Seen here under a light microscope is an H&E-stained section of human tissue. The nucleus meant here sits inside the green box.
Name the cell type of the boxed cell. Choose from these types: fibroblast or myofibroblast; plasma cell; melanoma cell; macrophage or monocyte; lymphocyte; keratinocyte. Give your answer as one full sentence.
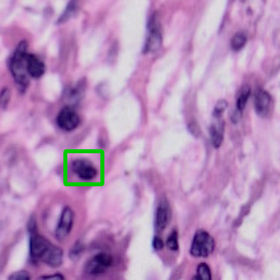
The boxed cell appears to be a plasma cell.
